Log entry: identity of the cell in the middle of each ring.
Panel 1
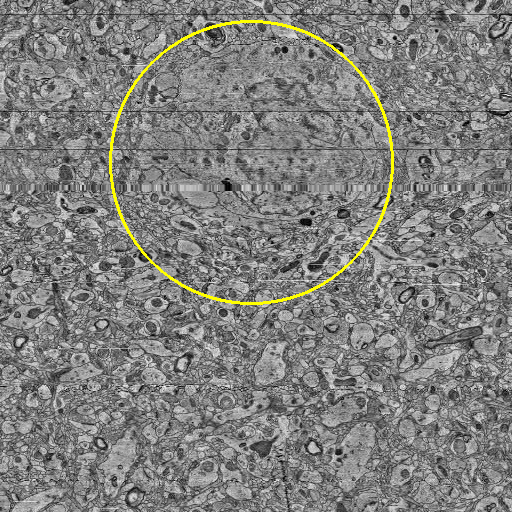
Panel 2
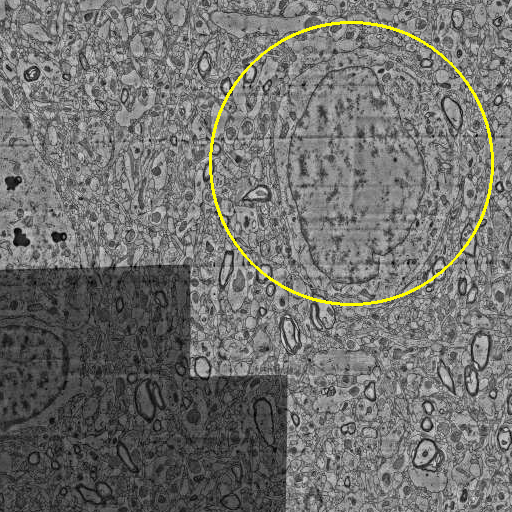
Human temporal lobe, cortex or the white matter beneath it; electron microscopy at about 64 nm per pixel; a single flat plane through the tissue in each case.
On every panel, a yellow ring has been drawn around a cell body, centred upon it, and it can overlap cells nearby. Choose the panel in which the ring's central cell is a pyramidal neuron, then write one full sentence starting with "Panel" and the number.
Panel 2 shows the requested cell sitting in the middle of its ring.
